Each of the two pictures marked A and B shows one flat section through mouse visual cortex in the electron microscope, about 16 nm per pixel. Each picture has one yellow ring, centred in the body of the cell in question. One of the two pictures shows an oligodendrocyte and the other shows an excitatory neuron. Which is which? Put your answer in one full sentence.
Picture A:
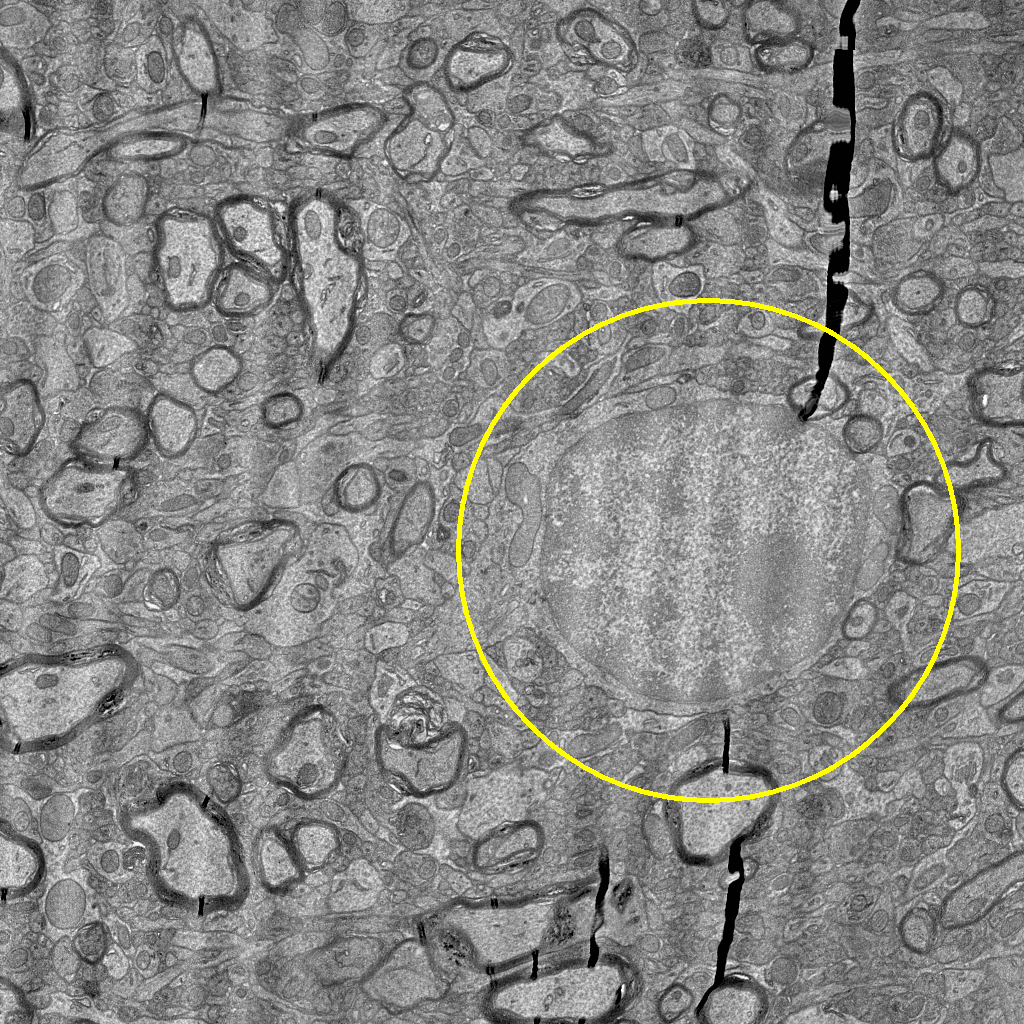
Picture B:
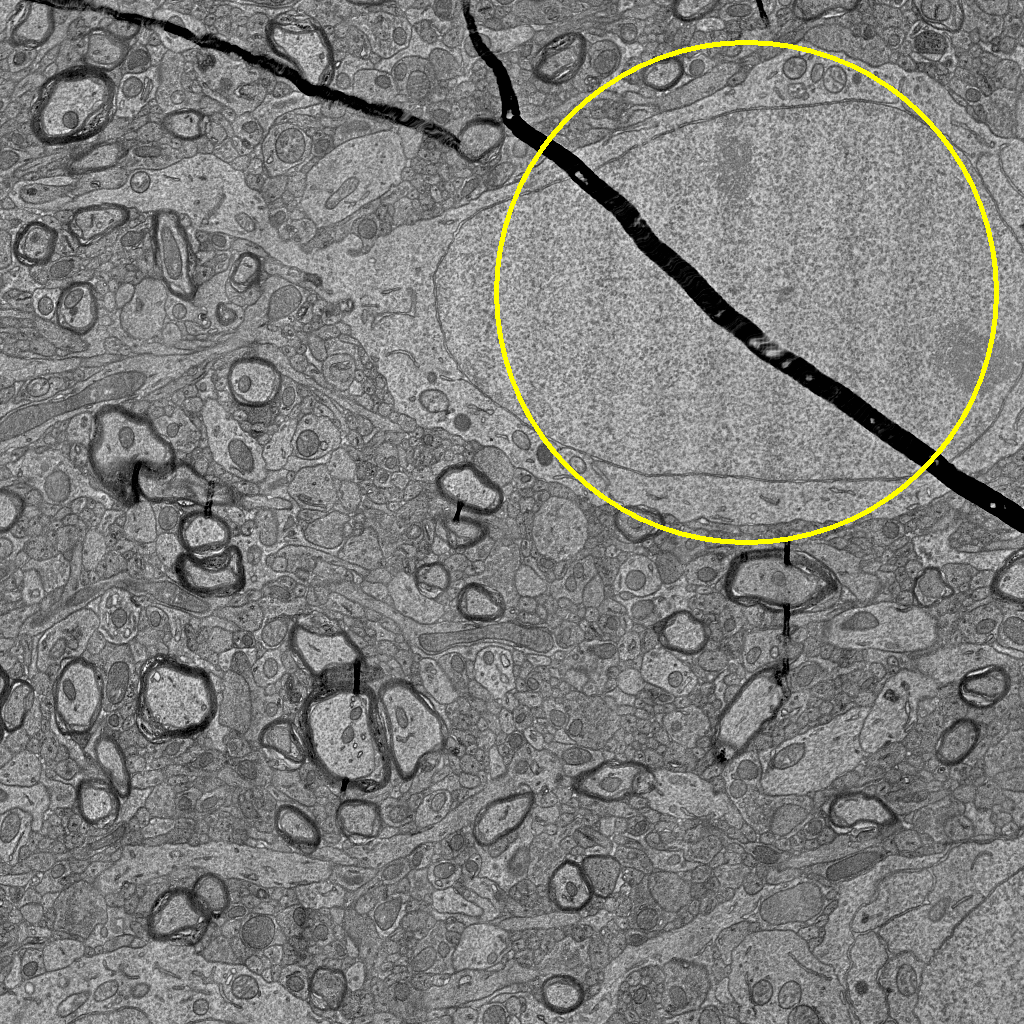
Picture A shows an oligodendrocyte and picture B shows an excitatory neuron.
